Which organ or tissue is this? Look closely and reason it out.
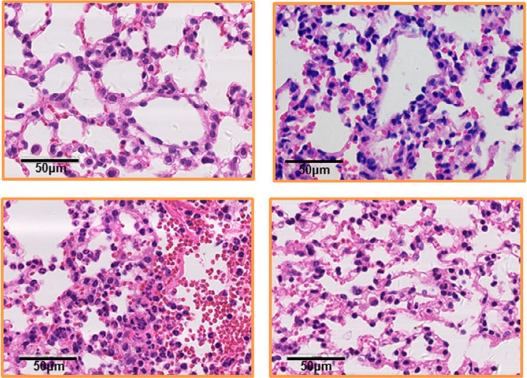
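Lungs. Thin-walled septa enclose many open, rounded air spaces. The walls are lined by flattened cells with small dark nuclei, with red-filled capillaries in places.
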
